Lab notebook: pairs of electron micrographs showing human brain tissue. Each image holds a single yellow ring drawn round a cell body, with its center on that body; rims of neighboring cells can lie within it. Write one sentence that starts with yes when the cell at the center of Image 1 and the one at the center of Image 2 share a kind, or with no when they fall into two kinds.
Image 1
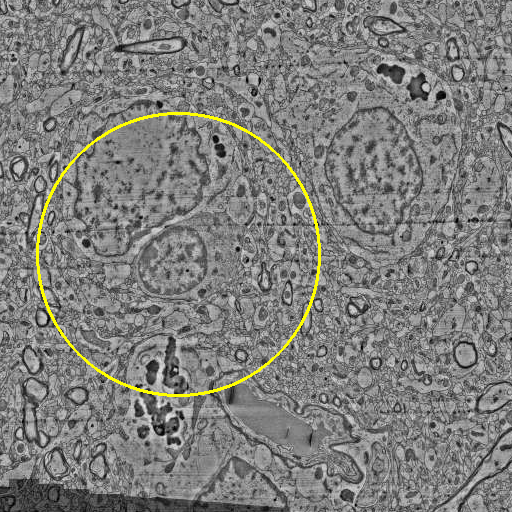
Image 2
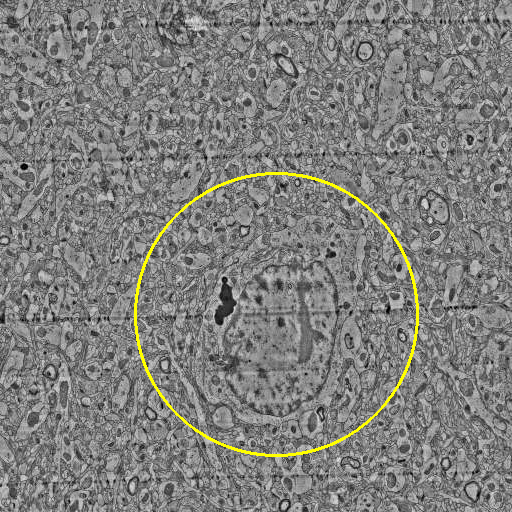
No, the centered cell in Image 1 and the centered cell in Image 2 are of two kinds.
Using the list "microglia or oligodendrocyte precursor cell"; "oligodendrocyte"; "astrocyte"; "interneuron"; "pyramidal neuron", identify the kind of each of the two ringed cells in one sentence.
The first is an oligodendrocyte and the second is an interneuron.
